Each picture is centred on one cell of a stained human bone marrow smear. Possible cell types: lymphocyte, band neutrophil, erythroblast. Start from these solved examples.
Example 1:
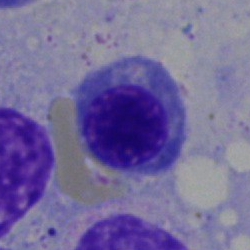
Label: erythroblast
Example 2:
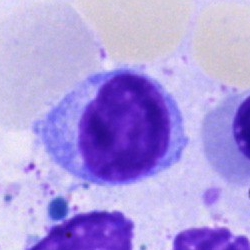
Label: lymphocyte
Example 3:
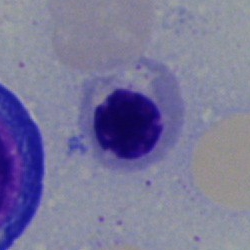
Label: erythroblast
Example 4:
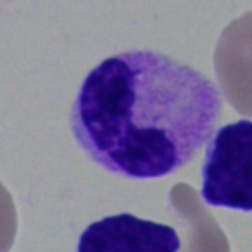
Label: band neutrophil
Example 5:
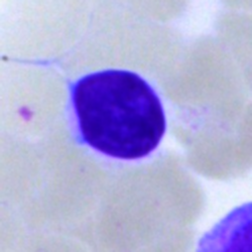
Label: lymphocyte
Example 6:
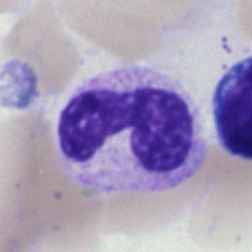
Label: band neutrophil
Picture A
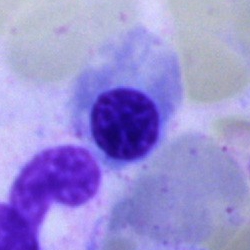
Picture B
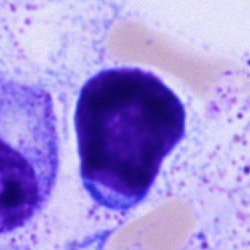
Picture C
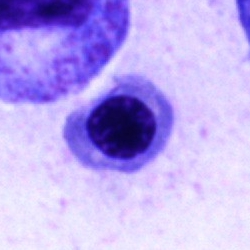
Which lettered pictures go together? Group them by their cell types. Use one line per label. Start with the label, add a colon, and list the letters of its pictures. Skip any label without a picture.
lymphocyte: B
erythroblast: A, C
